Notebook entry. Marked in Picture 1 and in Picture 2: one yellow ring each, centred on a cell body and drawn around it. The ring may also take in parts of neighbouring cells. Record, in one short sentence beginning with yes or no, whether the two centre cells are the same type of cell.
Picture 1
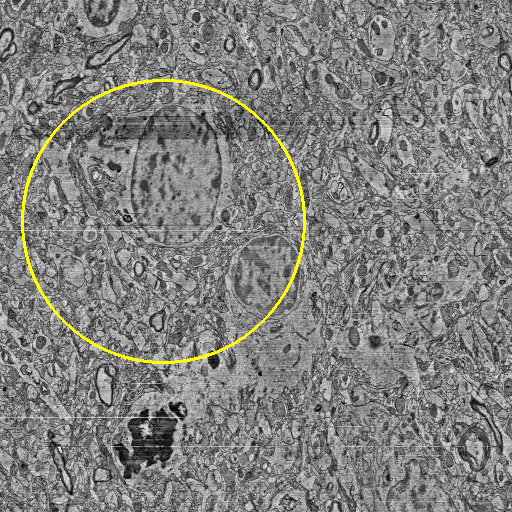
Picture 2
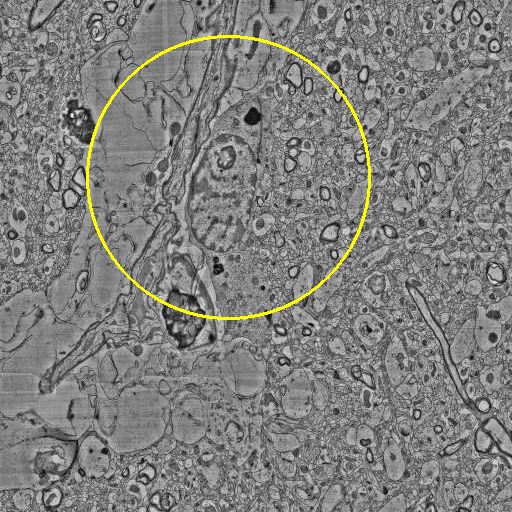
No, they are two types of cell.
